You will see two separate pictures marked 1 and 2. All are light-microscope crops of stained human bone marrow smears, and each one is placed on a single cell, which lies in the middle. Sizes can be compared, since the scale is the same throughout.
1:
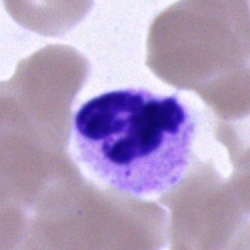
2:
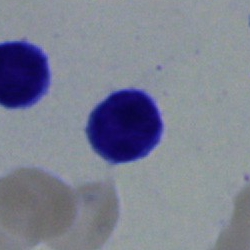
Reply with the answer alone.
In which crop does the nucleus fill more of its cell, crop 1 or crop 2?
2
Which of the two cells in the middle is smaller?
2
